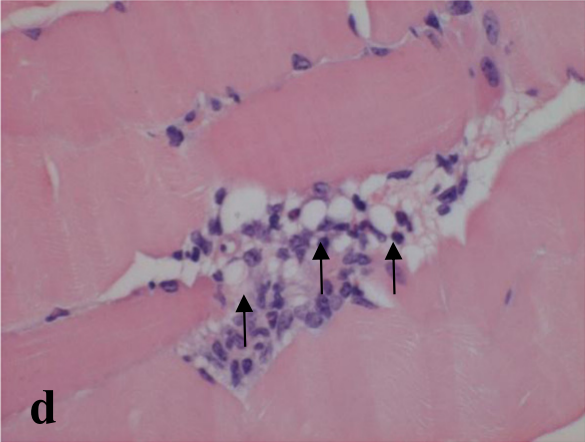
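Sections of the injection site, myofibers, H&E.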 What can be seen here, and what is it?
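Between pink skeletal muscle fibres lies a small focus of inflammatory cells with dark round nuclei. Among them are numerous clear, round, empty-looking vacuoles of varying size.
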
